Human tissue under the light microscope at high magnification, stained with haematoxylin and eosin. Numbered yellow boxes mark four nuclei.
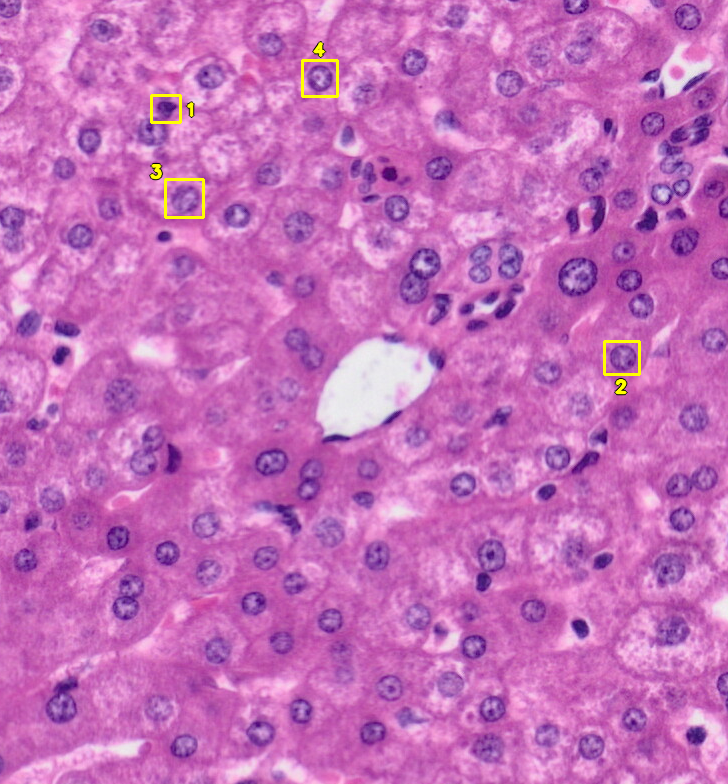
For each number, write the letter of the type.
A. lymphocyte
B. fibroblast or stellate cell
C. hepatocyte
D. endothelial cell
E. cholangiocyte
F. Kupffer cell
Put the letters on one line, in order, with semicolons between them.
B; C; C; C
